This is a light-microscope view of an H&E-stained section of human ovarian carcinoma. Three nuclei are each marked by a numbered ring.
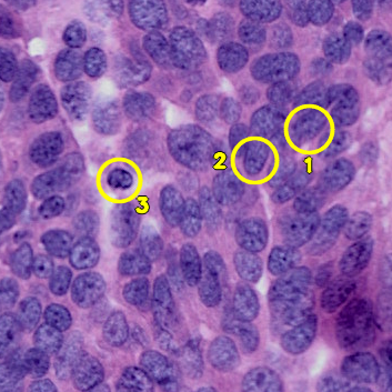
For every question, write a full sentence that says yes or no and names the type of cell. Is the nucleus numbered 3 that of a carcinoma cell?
No, a carcinoma cell is not what cell 3 is; it is a lymphocyte.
